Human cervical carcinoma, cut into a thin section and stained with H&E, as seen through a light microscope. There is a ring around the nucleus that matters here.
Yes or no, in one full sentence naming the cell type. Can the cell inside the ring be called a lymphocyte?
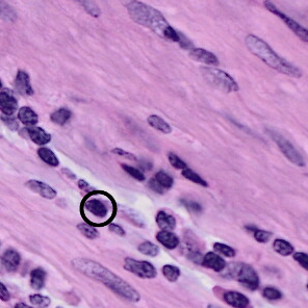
Yes, the cell inside the ring is a lymphocyte; nothing to add.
